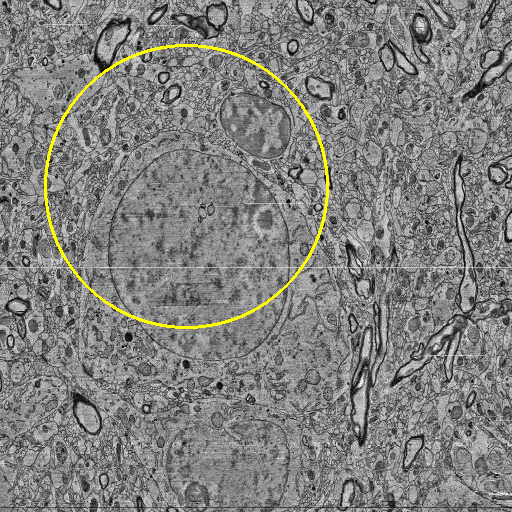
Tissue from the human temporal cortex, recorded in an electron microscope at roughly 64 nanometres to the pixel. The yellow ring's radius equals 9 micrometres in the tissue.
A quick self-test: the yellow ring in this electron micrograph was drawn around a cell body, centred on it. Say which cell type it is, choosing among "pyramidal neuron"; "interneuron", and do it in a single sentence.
The yellow-ringed cell is a pyramidal neuron.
